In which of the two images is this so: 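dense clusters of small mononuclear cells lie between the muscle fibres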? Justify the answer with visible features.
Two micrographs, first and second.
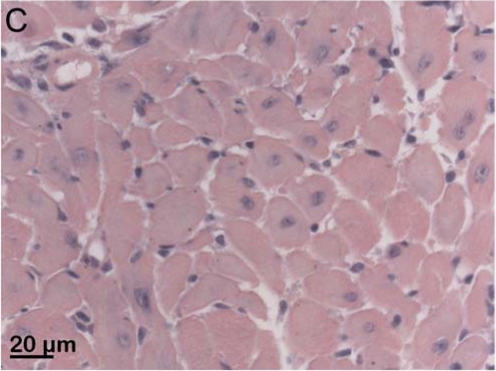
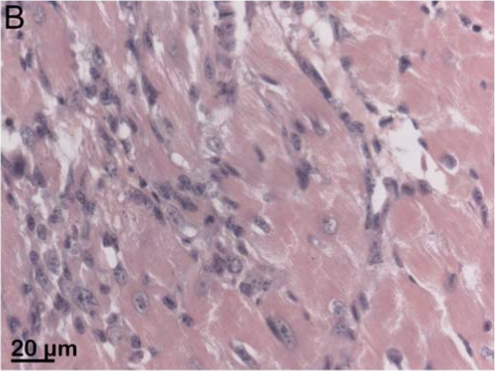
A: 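The second image. First image: muscle fibres lie closely packed with only scattered small nuclei in the thin interstitium. Second image: a dense cluster of small dark nuclei fills the spaces between muscle fibres.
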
